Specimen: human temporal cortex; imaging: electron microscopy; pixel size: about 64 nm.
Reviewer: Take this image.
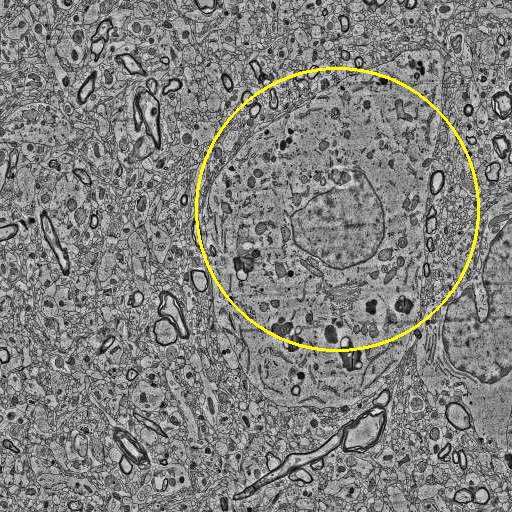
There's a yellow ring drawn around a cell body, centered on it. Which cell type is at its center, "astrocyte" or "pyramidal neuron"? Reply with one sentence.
At the center of the yellow ring is a pyramidal neuron.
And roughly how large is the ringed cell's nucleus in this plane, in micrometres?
The nucleus of the ringed cell is approximately 6 micrometres across in this plane.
